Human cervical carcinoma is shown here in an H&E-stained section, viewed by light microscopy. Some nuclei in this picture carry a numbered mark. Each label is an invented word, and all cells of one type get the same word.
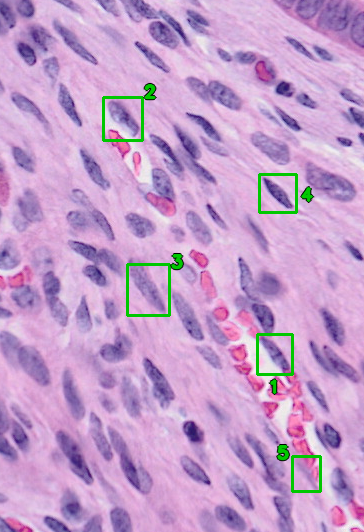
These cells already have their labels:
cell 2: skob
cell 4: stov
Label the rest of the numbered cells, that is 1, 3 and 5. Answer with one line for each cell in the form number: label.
1: skob
3: stov
5: skob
